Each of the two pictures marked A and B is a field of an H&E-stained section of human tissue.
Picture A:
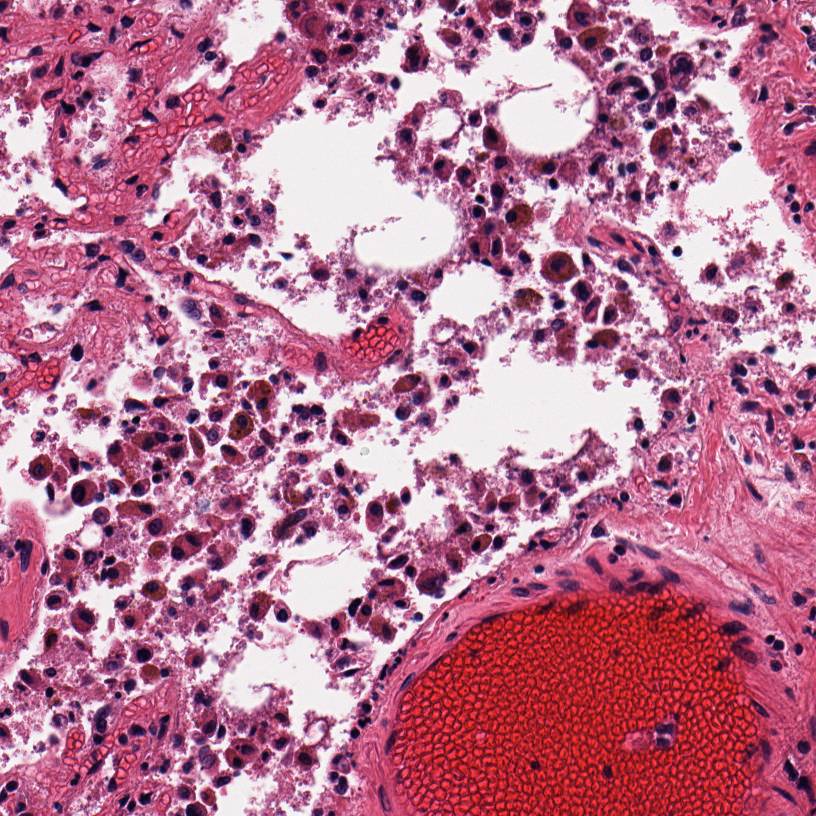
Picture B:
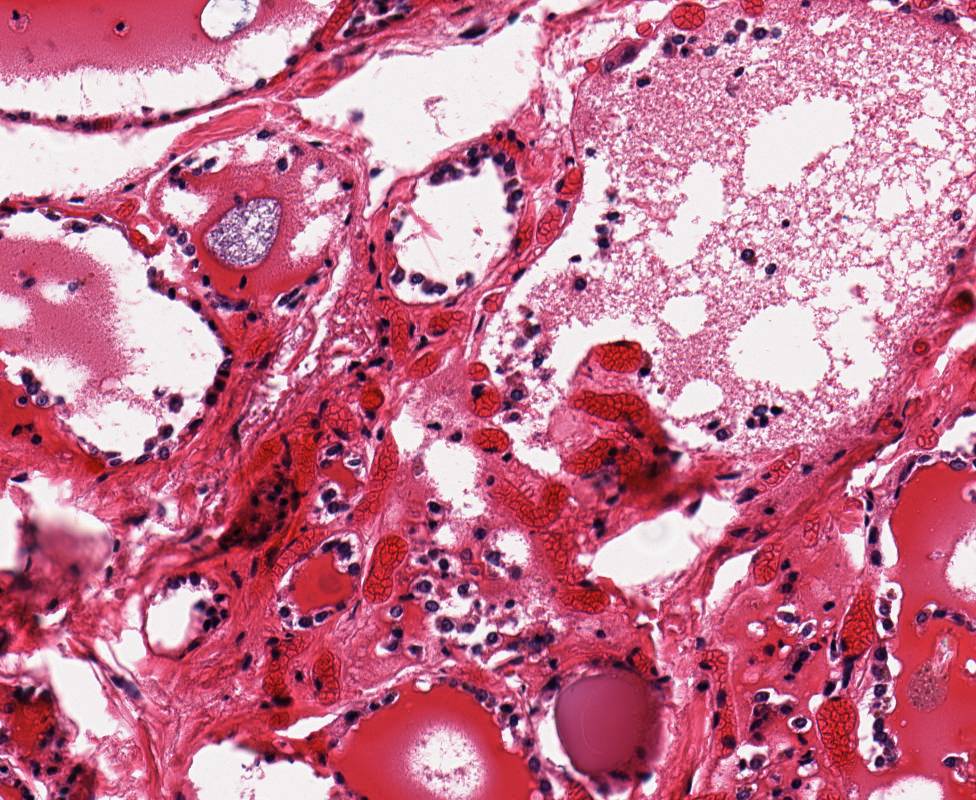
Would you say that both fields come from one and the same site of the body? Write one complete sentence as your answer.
No. Picture A comes from the lung, whereas picture B comes from the thyroid.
